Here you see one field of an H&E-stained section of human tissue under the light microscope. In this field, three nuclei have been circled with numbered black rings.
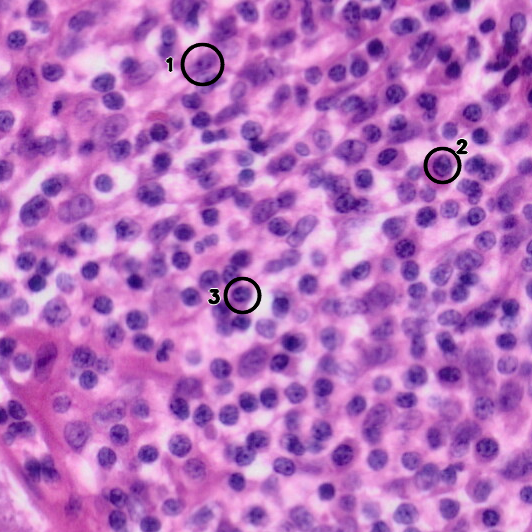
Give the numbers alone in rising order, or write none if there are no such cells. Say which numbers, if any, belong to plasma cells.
2, 3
